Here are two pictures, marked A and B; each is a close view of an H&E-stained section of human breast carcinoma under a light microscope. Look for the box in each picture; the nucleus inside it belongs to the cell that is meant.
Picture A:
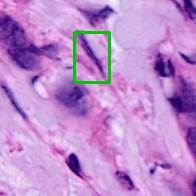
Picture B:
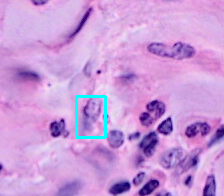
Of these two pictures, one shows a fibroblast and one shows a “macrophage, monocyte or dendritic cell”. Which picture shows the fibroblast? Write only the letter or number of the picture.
A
